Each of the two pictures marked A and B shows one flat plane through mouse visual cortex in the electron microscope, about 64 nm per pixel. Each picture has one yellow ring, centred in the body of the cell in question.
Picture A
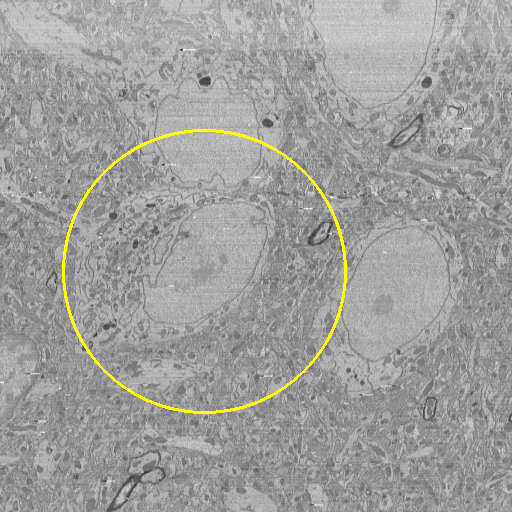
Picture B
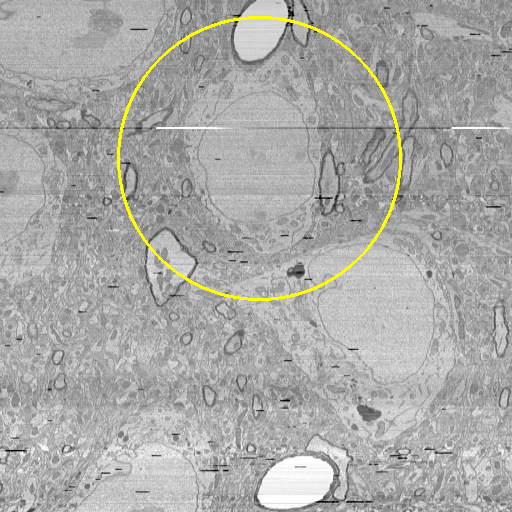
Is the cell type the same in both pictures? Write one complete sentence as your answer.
No, they differ: the cell is an inhibitory neuron in picture A and an excitatory neuron in picture B.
